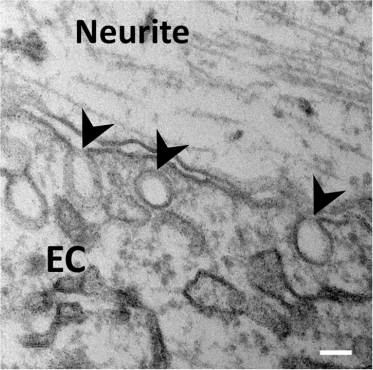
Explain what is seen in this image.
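This electron micrograph shows a neurite lying directly against an endothelial cell, their membranes closely apposed along a wavy boundary. The neurite above contains fine longitudinal filaments, while the endothelial cytoplasm below is more granular. Just beneath the contact several small round membrane-bound vesicles sit in the endothelial cell, some seemingly touching the membrane.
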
